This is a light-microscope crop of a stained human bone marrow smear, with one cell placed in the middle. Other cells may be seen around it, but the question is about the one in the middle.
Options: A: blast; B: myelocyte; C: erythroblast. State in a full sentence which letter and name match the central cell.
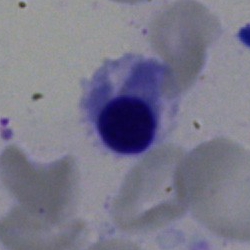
The cell in the middle is correctly identified as an erythroblast in option C.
